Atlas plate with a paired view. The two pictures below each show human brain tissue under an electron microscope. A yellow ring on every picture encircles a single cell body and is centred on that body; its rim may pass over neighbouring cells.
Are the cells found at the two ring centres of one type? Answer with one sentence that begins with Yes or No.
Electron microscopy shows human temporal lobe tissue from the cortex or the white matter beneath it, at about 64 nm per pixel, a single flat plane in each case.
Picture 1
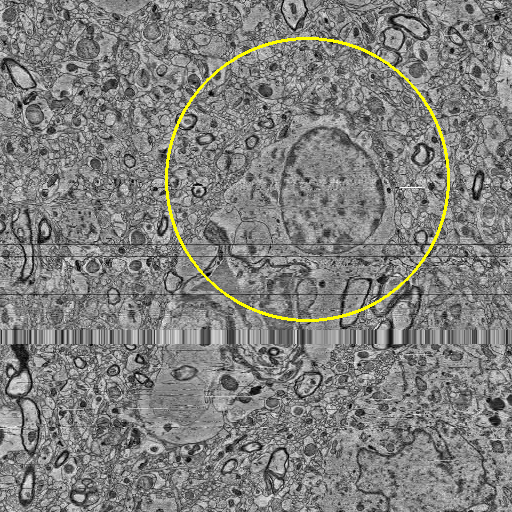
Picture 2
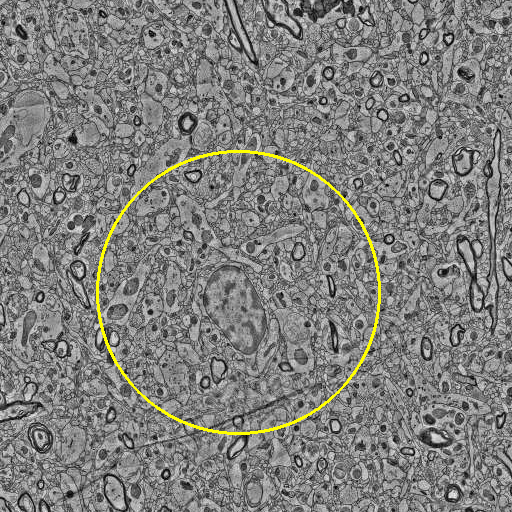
Yes, the two cells lying at the centres of the rings share a single type.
